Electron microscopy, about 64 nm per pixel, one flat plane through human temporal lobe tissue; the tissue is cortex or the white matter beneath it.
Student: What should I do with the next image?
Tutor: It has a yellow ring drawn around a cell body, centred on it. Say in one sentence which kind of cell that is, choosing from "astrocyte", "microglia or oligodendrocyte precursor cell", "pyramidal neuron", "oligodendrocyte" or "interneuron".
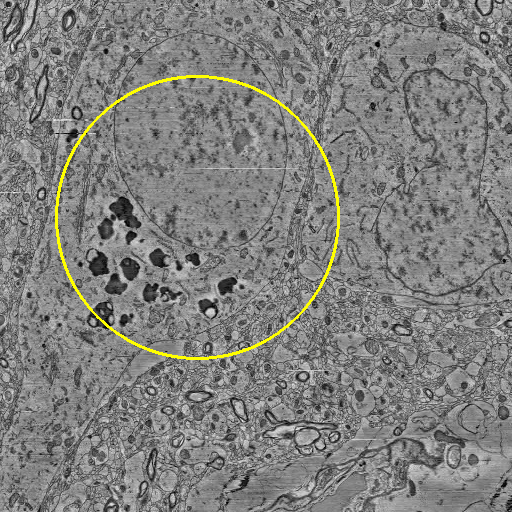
The ring's centre is occupied by a pyramidal neuron.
